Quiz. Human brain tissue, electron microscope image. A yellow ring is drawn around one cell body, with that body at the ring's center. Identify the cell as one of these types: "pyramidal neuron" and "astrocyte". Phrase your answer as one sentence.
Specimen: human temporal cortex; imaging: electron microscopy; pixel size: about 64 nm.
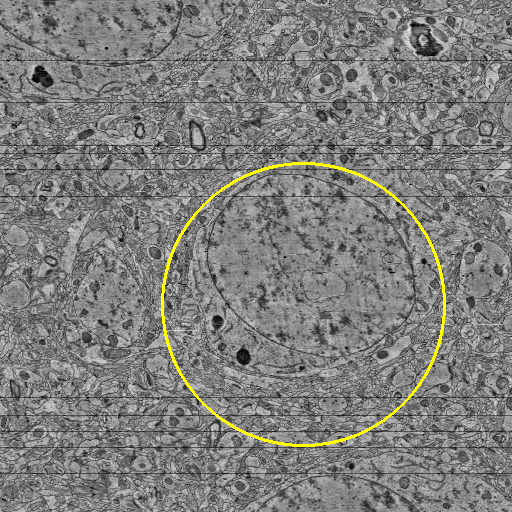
At the center of the ring sits a pyramidal neuron.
